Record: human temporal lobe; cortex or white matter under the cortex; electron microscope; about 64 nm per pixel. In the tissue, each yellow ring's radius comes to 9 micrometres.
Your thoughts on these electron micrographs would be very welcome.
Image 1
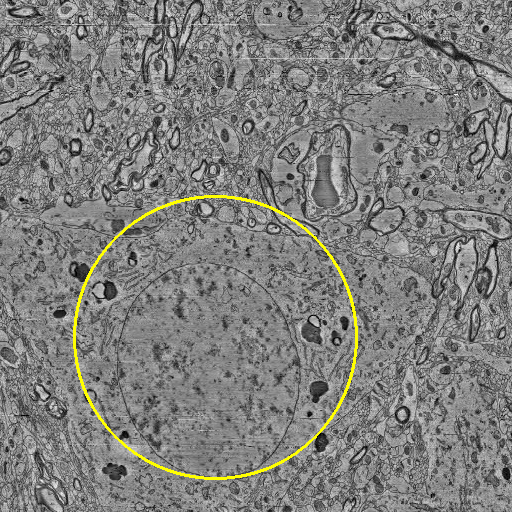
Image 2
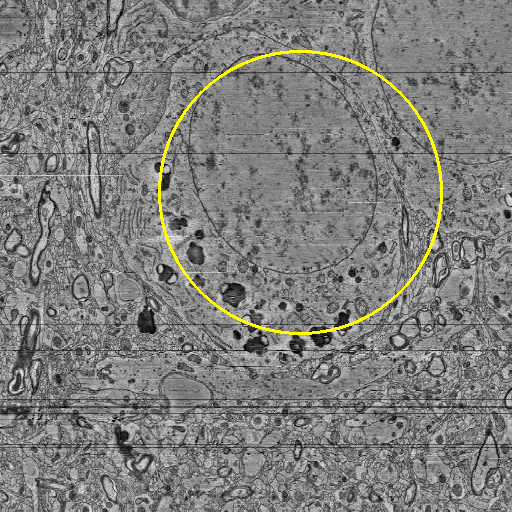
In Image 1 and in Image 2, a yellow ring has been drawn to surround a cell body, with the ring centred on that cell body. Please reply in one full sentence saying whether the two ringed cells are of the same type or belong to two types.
The ringed cells in Image 1 and Image 2 are of the same type.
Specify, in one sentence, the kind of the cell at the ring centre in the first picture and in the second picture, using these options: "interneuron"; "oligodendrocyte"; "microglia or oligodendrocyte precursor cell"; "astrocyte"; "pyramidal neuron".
Each one of the two ringed cells is a pyramidal neuron.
